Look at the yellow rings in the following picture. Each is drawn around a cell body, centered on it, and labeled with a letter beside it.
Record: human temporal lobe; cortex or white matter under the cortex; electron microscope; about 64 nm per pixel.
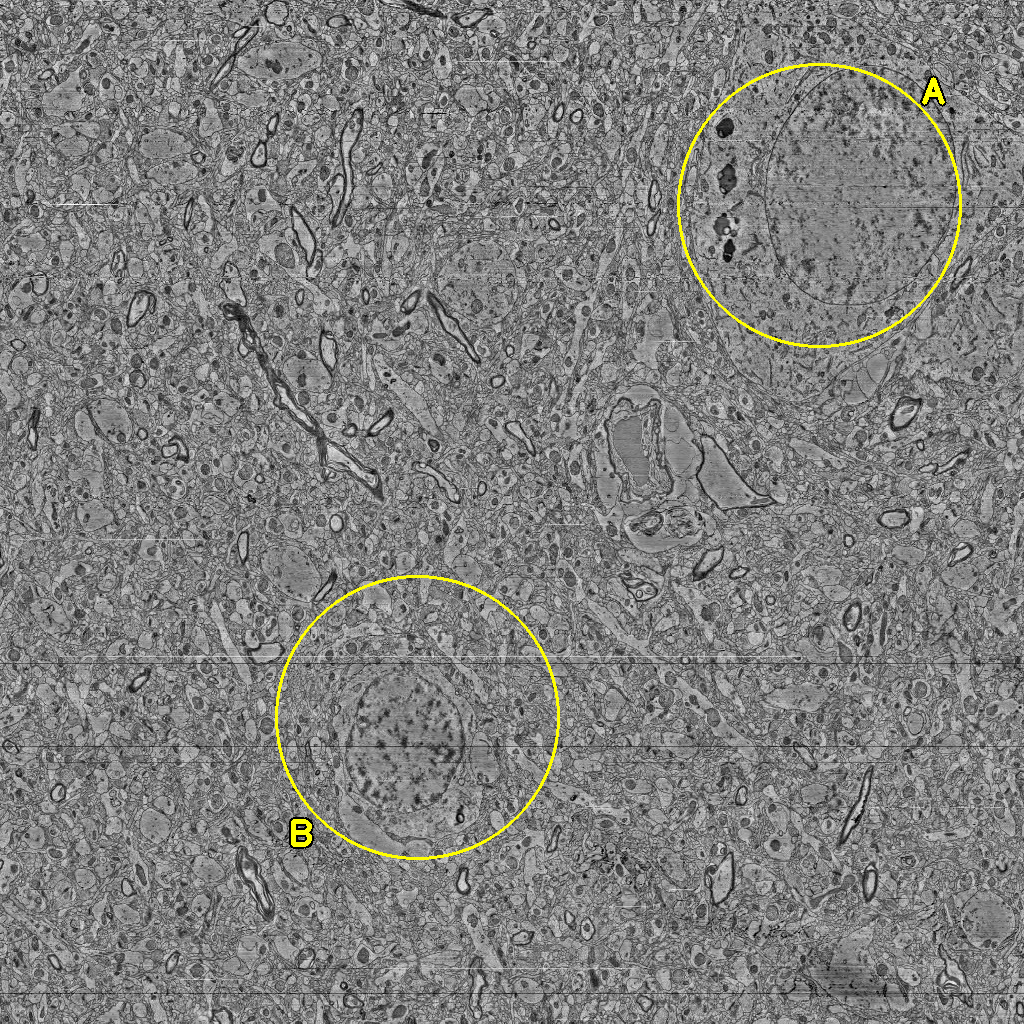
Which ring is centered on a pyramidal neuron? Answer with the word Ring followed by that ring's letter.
Ring A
